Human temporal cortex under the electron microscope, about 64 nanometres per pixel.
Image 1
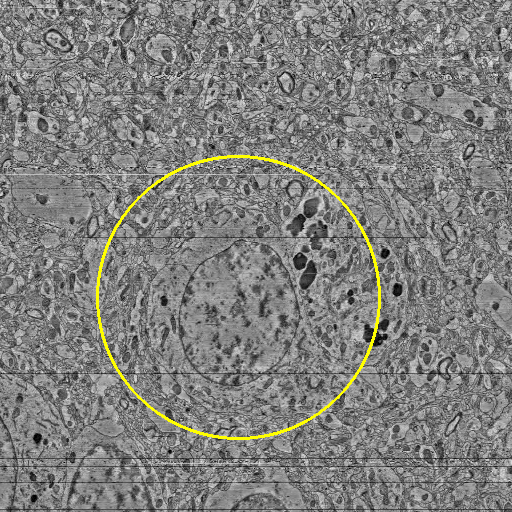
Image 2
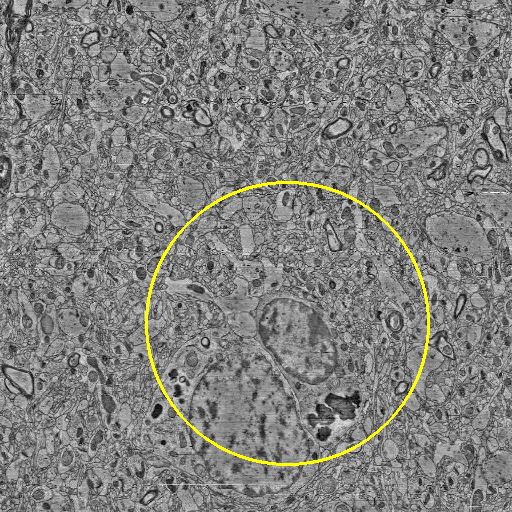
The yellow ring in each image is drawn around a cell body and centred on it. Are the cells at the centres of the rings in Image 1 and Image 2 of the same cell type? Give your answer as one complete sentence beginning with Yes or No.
No, the two cells are of two separate types.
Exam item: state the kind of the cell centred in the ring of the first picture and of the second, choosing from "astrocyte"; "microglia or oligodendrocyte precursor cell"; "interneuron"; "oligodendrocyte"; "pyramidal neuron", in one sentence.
The first picture shows a pyramidal neuron at the ring centre and the second shows an oligodendrocyte.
